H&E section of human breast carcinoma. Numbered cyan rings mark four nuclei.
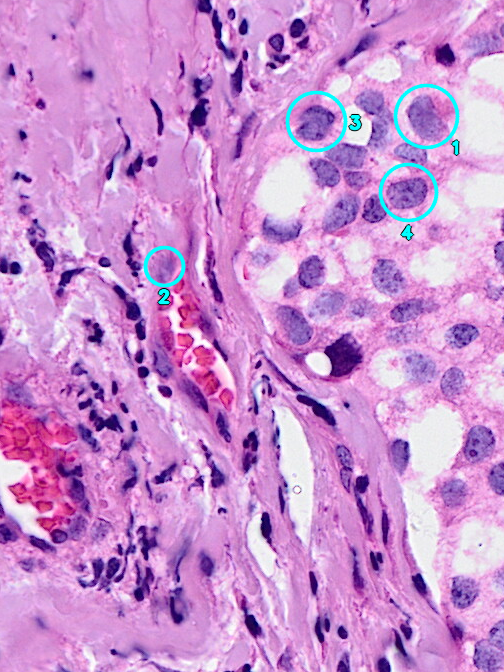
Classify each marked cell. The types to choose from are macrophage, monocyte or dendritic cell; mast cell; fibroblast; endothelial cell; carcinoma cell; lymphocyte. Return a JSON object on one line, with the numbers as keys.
{"1": "carcinoma cell", "2": "endothelial cell", "3": "carcinoma cell", "4": "carcinoma cell"}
